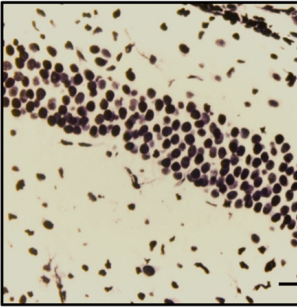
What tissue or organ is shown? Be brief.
Hippocampus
